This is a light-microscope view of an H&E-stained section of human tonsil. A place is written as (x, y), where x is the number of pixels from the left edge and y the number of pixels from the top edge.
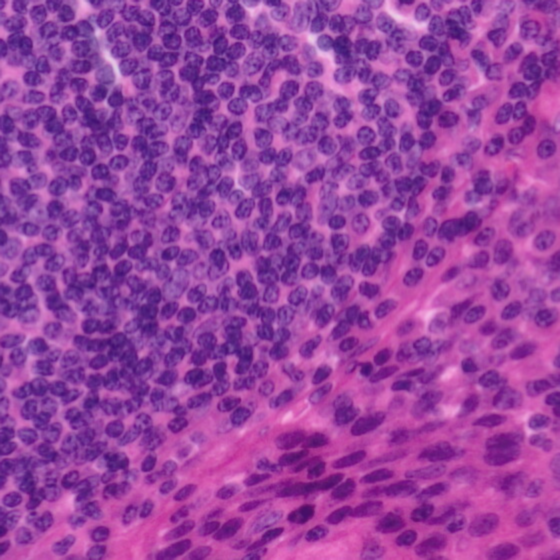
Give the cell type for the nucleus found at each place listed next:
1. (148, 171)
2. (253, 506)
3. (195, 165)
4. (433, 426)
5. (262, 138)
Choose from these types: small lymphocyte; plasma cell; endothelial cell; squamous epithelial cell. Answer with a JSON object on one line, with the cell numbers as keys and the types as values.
{"1": "small lymphocyte", "2": "squamous epithelial cell", "3": "small lymphocyte", "4": "squamous epithelial cell", "5": "small lymphocyte"}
